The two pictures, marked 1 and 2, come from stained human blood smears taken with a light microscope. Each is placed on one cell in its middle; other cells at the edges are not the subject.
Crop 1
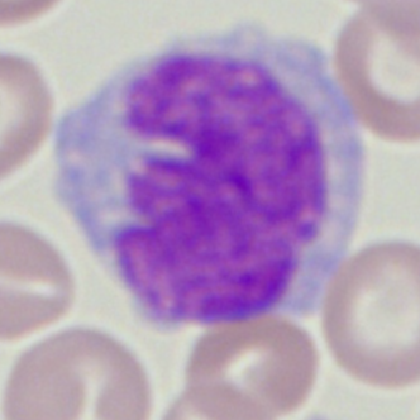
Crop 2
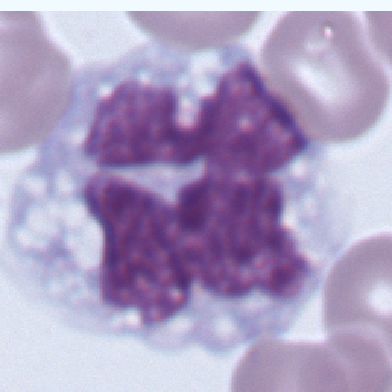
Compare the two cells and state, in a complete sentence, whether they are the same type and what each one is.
Yes, what both crops show is monocytes.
